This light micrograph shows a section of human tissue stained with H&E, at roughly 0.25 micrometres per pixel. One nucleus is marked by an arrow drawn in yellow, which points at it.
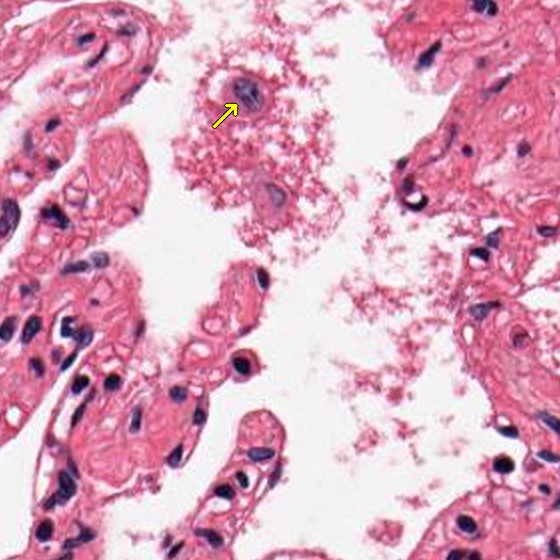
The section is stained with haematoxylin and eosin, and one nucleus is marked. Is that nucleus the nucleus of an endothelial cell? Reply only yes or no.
no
